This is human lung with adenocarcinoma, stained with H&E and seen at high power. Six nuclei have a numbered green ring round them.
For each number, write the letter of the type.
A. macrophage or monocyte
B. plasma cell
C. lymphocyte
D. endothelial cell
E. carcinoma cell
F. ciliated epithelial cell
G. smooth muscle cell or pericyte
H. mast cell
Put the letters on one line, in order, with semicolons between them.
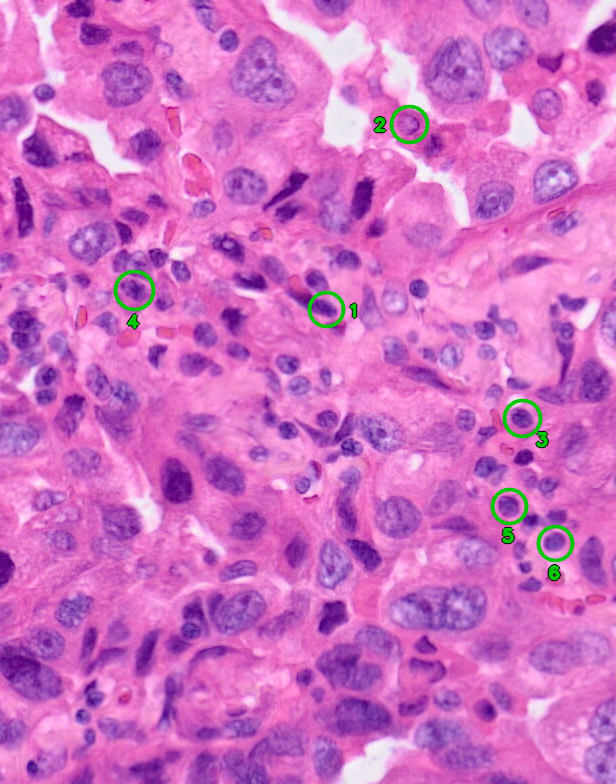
C; A; C; B; C; C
